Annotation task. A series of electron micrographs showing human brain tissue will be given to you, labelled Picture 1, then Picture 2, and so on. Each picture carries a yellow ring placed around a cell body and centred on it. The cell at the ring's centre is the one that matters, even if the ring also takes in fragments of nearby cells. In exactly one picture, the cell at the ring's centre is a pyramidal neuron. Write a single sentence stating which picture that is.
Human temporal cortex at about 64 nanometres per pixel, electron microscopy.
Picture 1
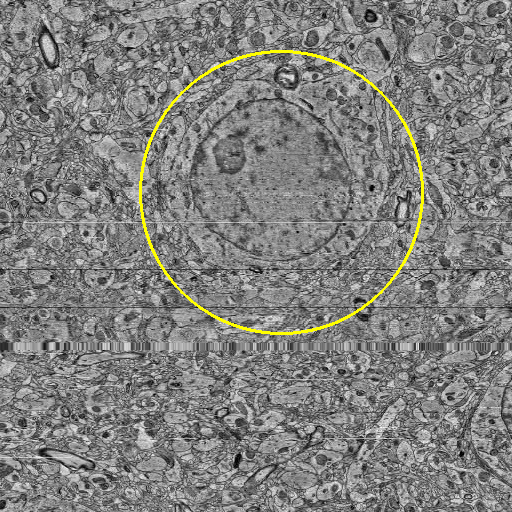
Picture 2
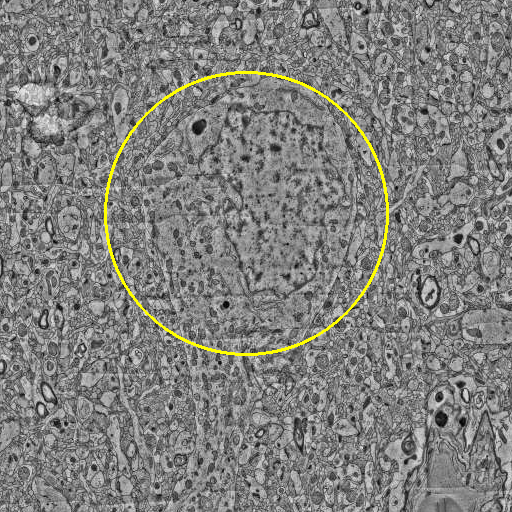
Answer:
Picture 1 holds the requested cell at the very centre of its ring.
